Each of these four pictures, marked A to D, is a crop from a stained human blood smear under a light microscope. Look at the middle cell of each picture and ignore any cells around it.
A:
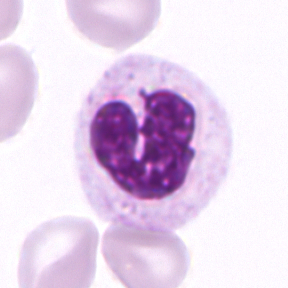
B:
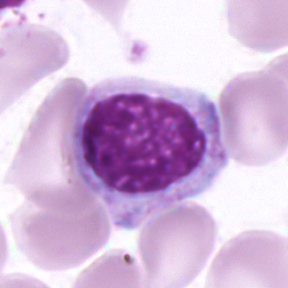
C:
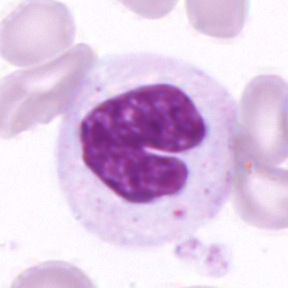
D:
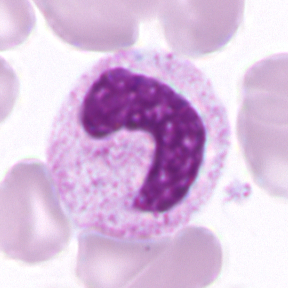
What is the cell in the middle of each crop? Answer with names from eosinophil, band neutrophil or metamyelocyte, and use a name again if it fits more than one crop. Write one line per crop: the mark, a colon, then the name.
A: band neutrophil
B: metamyelocyte
C: band neutrophil
D: band neutrophil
